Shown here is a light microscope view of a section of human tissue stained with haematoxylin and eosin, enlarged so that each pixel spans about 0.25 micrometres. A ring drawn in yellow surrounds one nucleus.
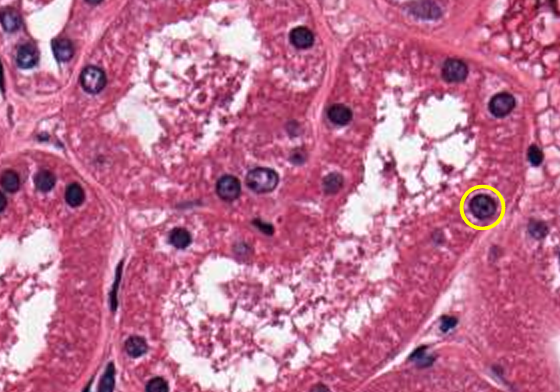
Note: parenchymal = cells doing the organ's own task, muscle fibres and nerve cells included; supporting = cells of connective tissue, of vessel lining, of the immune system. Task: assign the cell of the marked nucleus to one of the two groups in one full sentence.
The marked nucleus lies within a parenchymal cell, which is a proximal tubule cell.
